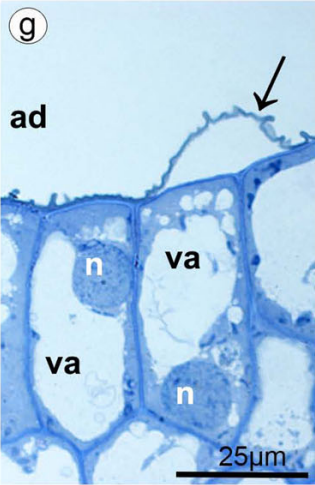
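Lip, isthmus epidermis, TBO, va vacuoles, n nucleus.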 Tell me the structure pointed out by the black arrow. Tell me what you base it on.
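A thin wavy layer arches well above the outer wall of an epidermal cell. The space between this layer and the cell wall is empty. On this evidence: distended cuticle.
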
